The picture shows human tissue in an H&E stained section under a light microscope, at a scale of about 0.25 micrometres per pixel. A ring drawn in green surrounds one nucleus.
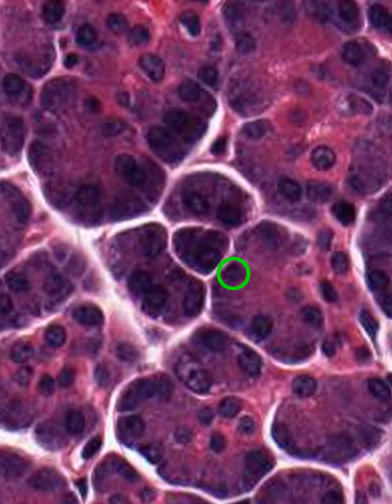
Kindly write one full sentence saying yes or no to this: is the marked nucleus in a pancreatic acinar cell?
Yes, the marked nucleus is in a pancreatic acinar cell.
